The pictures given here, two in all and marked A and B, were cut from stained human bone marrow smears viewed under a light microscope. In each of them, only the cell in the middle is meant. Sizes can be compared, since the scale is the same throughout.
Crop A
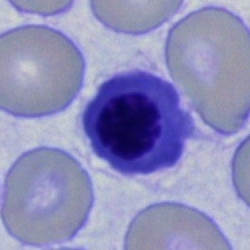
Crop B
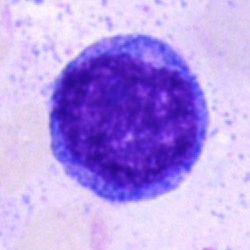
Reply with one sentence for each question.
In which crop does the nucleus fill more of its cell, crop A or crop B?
Of the two, the nucleus in crop B makes up the greater part of its cell.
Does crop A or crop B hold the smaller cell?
It is the cell in crop A; the cell in crop B has about 2.5 times its area.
